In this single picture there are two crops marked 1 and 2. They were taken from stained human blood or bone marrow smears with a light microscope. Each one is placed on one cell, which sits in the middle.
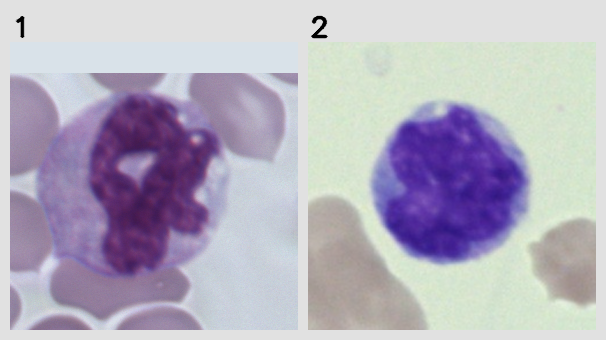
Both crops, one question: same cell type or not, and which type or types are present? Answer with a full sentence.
Yes, both crops contain monocytes at their centres.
